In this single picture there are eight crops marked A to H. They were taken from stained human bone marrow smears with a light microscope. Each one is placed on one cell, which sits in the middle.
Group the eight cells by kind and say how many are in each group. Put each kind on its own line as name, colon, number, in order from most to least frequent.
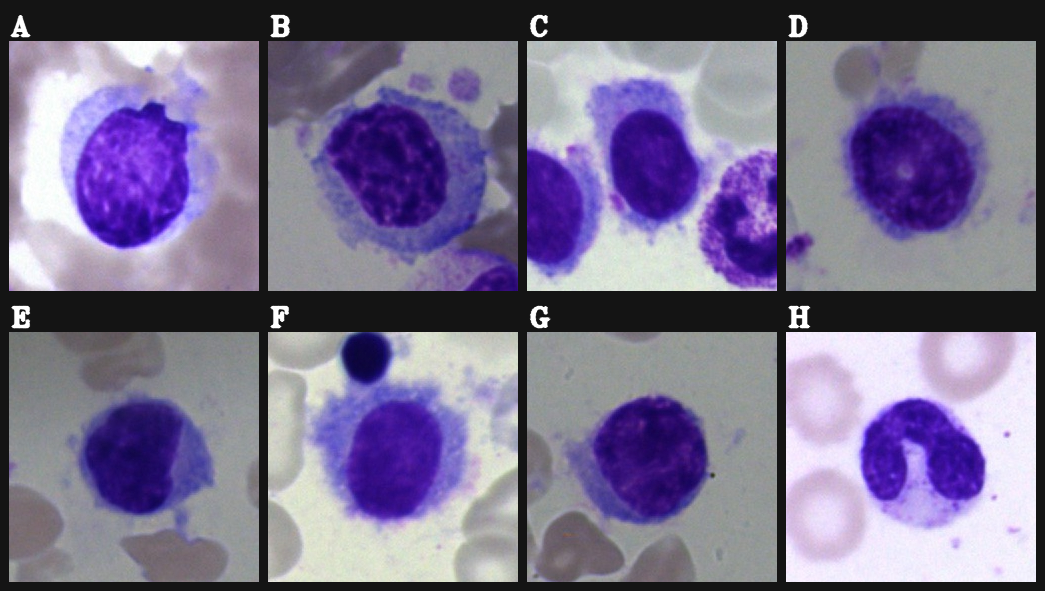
hairy cell: 7
band neutrophil: 1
